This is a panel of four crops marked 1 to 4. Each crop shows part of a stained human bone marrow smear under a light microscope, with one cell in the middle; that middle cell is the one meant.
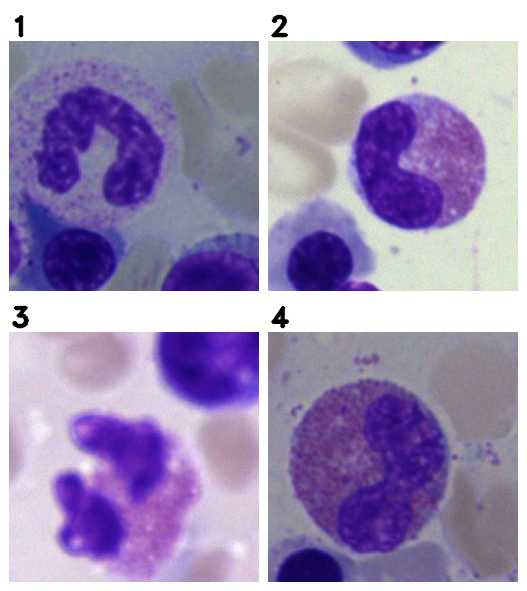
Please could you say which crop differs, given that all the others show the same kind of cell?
1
